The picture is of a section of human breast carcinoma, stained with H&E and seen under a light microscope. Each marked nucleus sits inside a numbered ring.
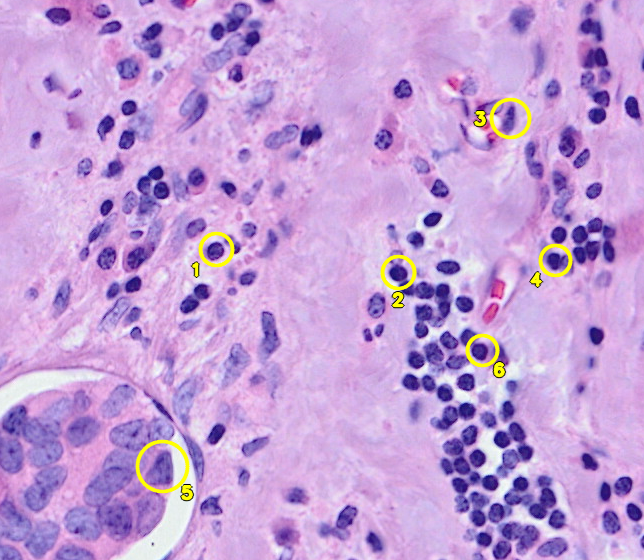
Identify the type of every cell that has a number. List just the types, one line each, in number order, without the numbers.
lymphocyte
lymphocyte
endothelial cell
lymphocyte
carcinoma cell
lymphocyte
